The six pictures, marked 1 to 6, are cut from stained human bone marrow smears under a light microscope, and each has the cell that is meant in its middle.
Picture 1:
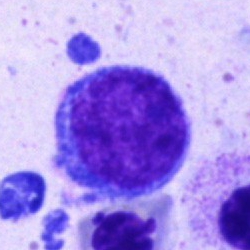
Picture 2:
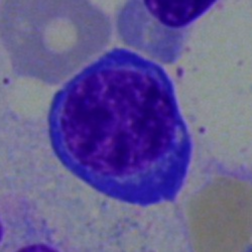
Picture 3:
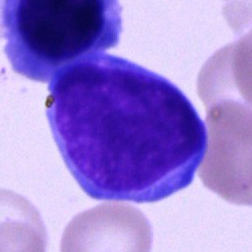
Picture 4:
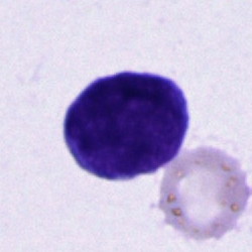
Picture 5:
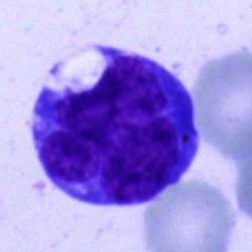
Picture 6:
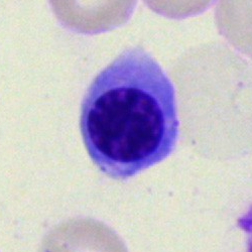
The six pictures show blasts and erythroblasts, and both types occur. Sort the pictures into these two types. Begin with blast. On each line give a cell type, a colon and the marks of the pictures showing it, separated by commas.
blast: 1, 3, 4, 5
erythroblast: 2, 6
